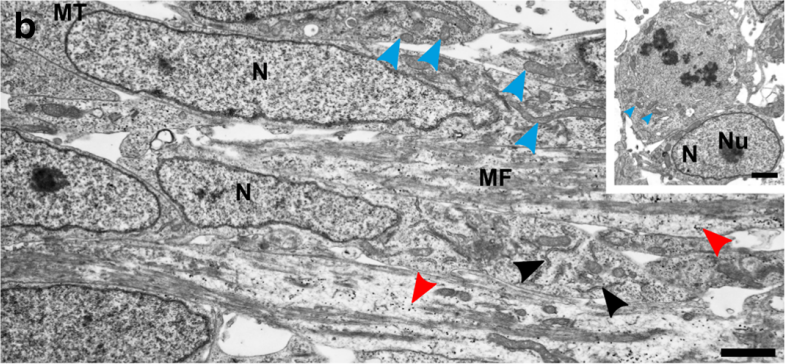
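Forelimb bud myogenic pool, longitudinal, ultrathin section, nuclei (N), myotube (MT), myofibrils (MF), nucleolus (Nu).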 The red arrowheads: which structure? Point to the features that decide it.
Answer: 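They are scattered in the cytoplasm between filament bundles.
Glycogen.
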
